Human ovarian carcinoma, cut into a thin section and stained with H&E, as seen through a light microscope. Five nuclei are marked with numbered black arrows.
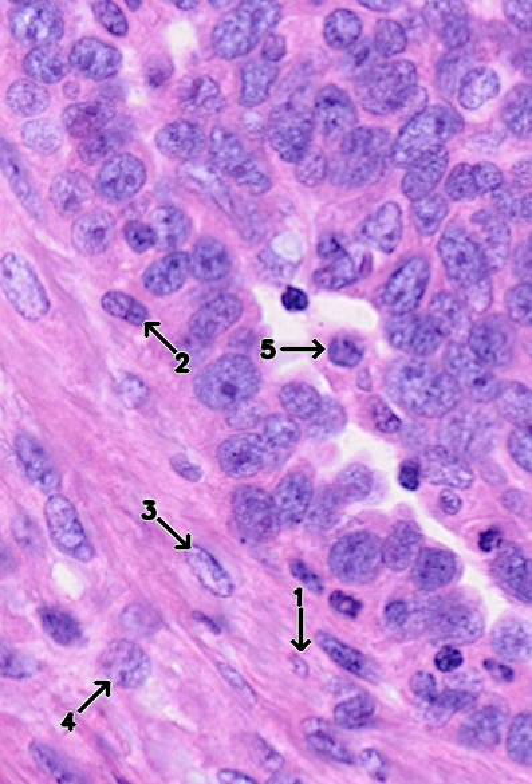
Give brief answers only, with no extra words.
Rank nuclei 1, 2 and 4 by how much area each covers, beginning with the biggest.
4, 2, 1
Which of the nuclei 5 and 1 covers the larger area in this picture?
5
